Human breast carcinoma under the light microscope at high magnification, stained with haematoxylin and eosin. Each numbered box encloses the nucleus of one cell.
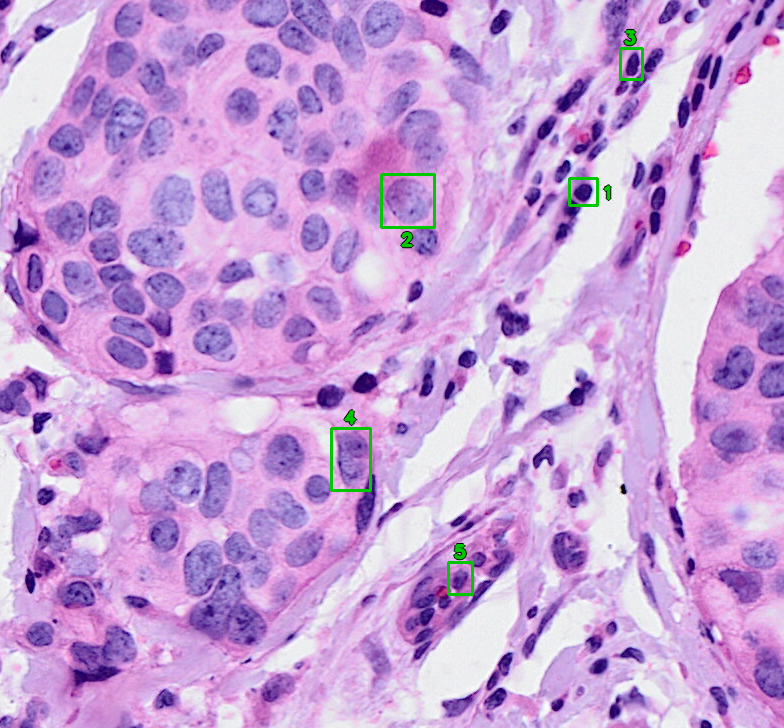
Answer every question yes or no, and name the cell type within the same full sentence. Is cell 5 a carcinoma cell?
No, cell 5 is not a carcinoma cell. It is an endothelial cell.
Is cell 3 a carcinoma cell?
No, cell 3 has been misnamed; it is a lymphocyte, not a carcinoma cell.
